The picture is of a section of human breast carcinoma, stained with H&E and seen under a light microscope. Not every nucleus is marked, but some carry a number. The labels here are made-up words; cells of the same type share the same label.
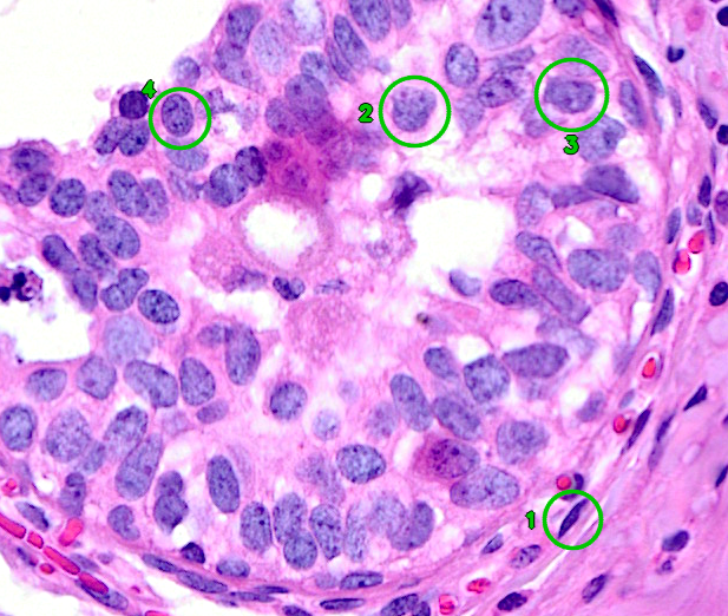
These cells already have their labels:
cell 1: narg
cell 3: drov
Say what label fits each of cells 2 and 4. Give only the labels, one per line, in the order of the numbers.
drov
drov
